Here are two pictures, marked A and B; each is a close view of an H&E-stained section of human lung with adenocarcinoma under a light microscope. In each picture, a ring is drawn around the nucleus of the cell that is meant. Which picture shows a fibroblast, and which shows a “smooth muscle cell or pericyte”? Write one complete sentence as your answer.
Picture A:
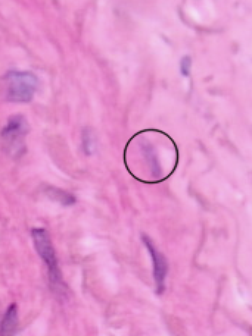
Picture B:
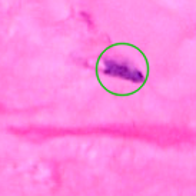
Picture A is of a “smooth muscle cell or pericyte”, and picture B is of a fibroblast.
